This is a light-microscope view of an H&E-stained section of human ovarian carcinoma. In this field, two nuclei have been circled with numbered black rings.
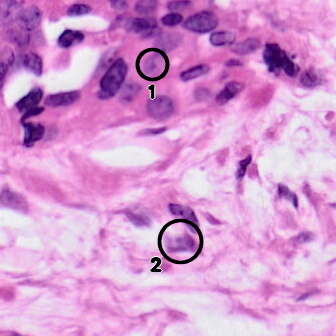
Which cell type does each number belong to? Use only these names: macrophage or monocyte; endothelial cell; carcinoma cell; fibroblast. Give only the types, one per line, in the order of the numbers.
carcinoma cell
fibroblast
